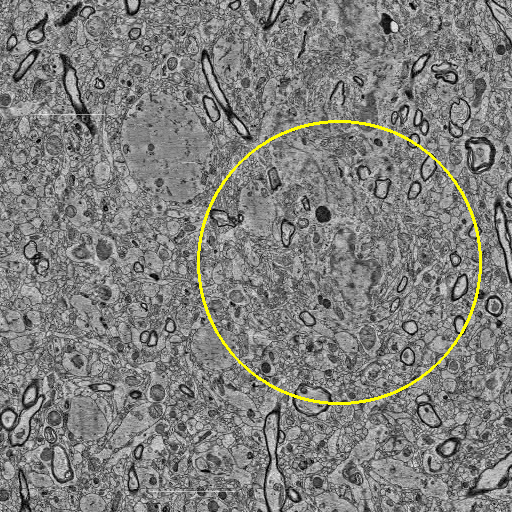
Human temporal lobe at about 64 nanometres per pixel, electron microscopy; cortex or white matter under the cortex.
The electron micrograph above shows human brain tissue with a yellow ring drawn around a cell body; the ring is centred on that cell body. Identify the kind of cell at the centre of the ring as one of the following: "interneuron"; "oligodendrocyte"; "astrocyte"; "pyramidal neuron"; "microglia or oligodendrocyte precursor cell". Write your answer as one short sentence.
The cell at the centre of the ring is a microglial cell or oligodendrocyte precursor cell.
